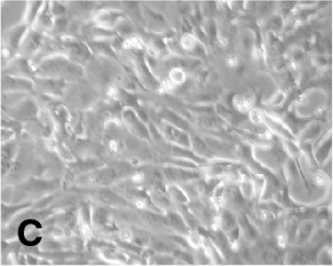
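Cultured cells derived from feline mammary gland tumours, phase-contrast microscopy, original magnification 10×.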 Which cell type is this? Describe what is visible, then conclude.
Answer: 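Many cells are drawn out and tapered at both ends. Cells lie flat side by side in a single sheet.
Elongated spindle-shaped cells.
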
